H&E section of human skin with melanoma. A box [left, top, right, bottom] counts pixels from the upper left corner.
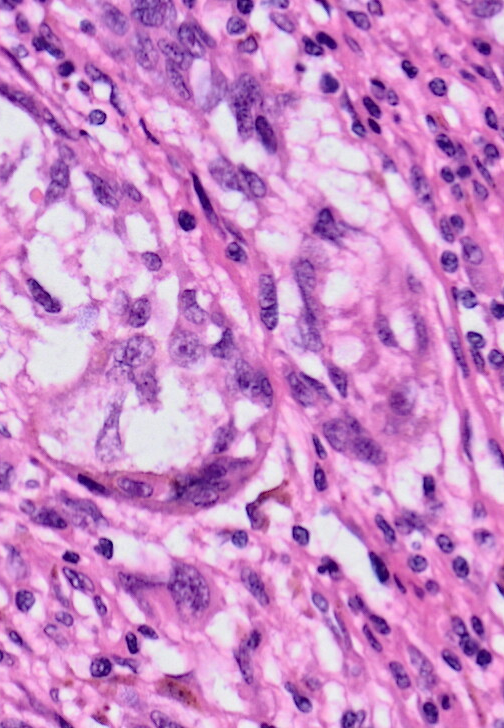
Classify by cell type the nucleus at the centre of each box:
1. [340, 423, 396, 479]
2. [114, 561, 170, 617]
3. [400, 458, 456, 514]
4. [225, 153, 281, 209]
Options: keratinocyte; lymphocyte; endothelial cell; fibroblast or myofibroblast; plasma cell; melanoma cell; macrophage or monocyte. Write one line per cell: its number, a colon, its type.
1: melanoma cell
2: melanoma cell
3: lymphocyte
4: melanoma cell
